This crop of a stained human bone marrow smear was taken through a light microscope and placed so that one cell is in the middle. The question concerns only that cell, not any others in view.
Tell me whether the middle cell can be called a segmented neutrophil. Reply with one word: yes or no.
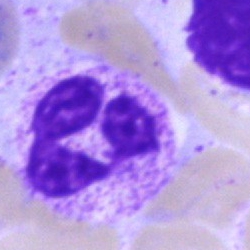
yes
